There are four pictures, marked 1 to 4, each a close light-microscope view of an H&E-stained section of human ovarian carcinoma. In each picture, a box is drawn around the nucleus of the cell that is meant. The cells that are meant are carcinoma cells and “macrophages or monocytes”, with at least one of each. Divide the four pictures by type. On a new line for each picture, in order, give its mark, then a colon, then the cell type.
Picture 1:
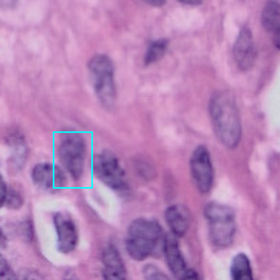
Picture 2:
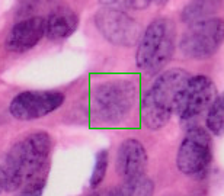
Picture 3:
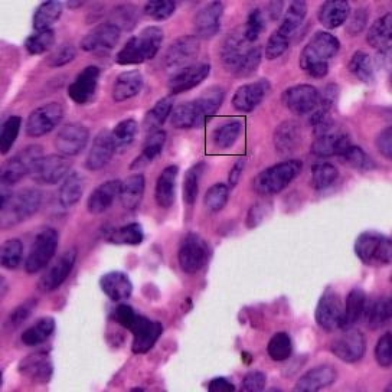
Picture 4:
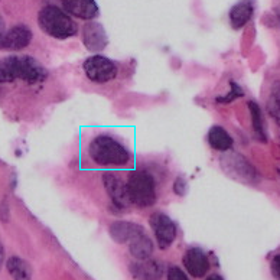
1: carcinoma cell
2: carcinoma cell
3: macrophage or monocyte
4: carcinoma cell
